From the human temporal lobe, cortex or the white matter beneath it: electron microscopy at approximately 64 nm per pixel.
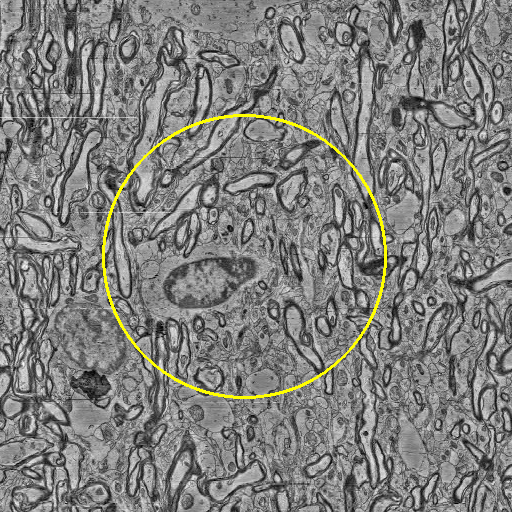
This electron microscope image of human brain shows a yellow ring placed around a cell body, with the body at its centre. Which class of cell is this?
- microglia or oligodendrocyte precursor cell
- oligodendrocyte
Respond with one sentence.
The cell body at the ring's centre is a microglial cell or oligodendrocyte precursor cell.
